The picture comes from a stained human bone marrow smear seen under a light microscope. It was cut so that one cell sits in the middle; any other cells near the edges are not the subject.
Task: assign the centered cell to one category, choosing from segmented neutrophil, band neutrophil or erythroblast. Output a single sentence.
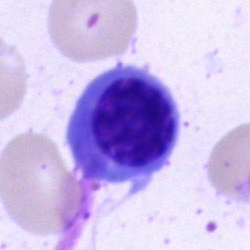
Regarding the central cell, it is an erythroblast.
